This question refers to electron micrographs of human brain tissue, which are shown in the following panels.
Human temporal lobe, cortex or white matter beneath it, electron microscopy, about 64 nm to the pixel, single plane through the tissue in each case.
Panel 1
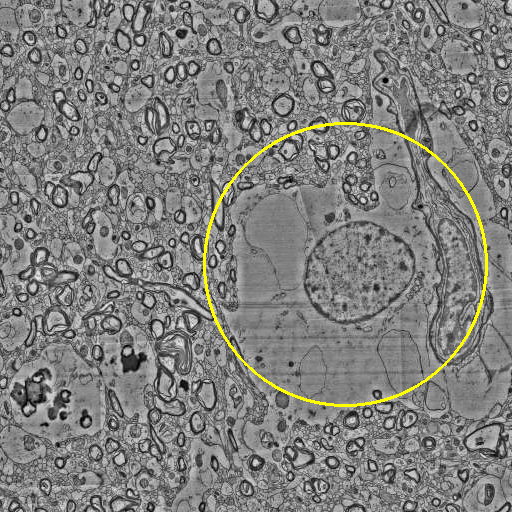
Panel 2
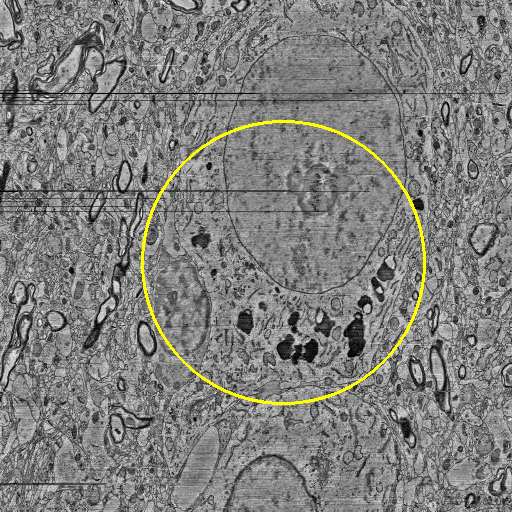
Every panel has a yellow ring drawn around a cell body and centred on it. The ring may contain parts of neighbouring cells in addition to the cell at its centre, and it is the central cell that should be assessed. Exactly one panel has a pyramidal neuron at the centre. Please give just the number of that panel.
2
